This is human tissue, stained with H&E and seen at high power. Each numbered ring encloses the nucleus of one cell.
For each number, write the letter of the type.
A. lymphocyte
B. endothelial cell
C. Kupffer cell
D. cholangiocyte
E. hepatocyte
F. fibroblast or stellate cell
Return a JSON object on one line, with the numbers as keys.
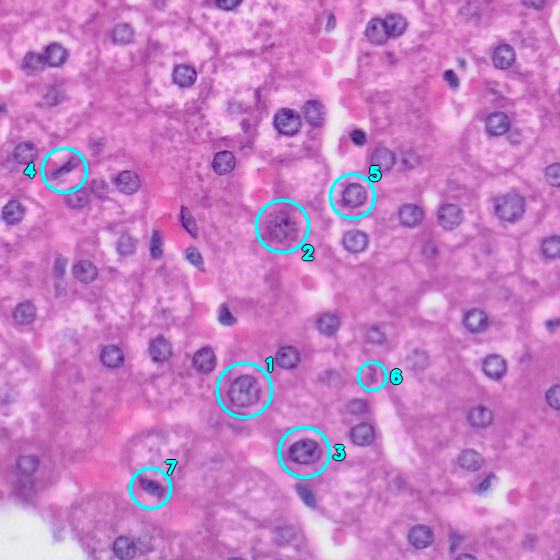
{"1": "E", "2": "E", "3": "E", "4": "C", "5": "E", "6": "B", "7": "F"}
